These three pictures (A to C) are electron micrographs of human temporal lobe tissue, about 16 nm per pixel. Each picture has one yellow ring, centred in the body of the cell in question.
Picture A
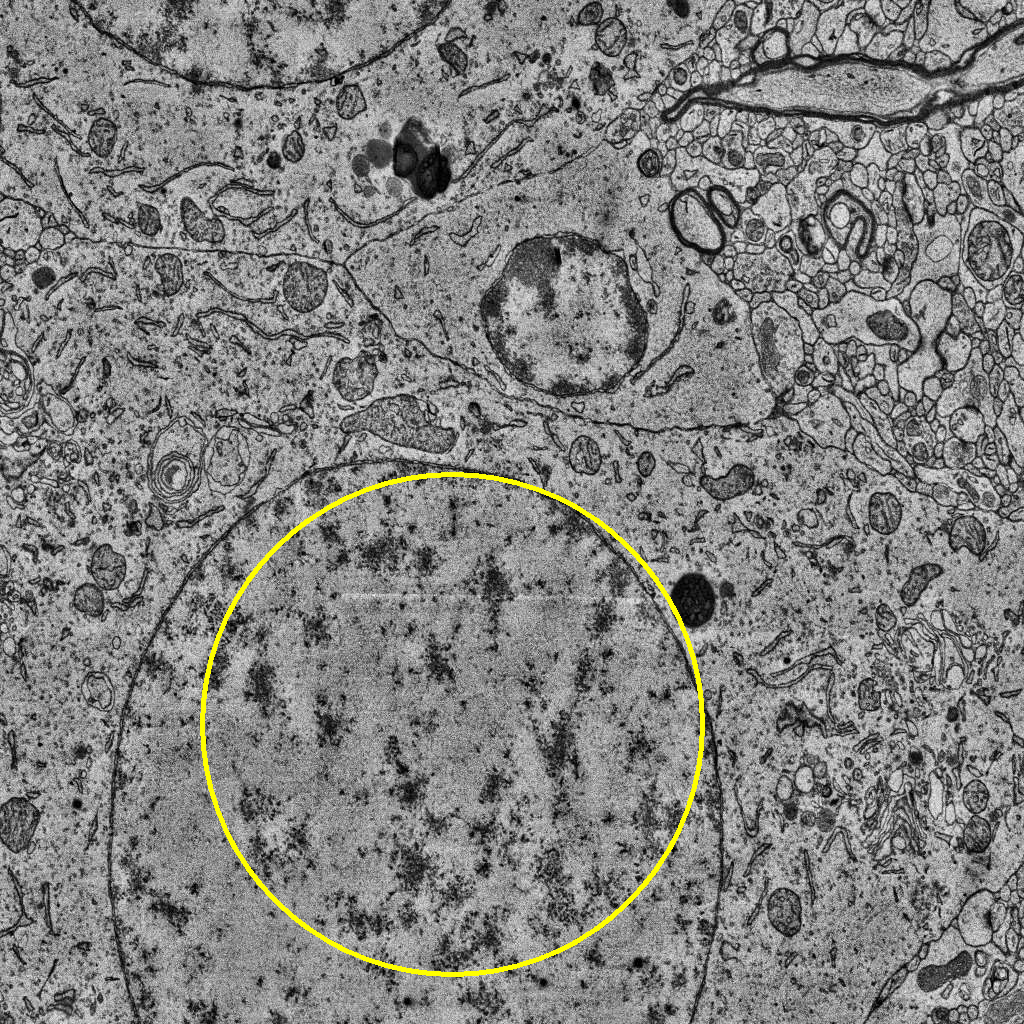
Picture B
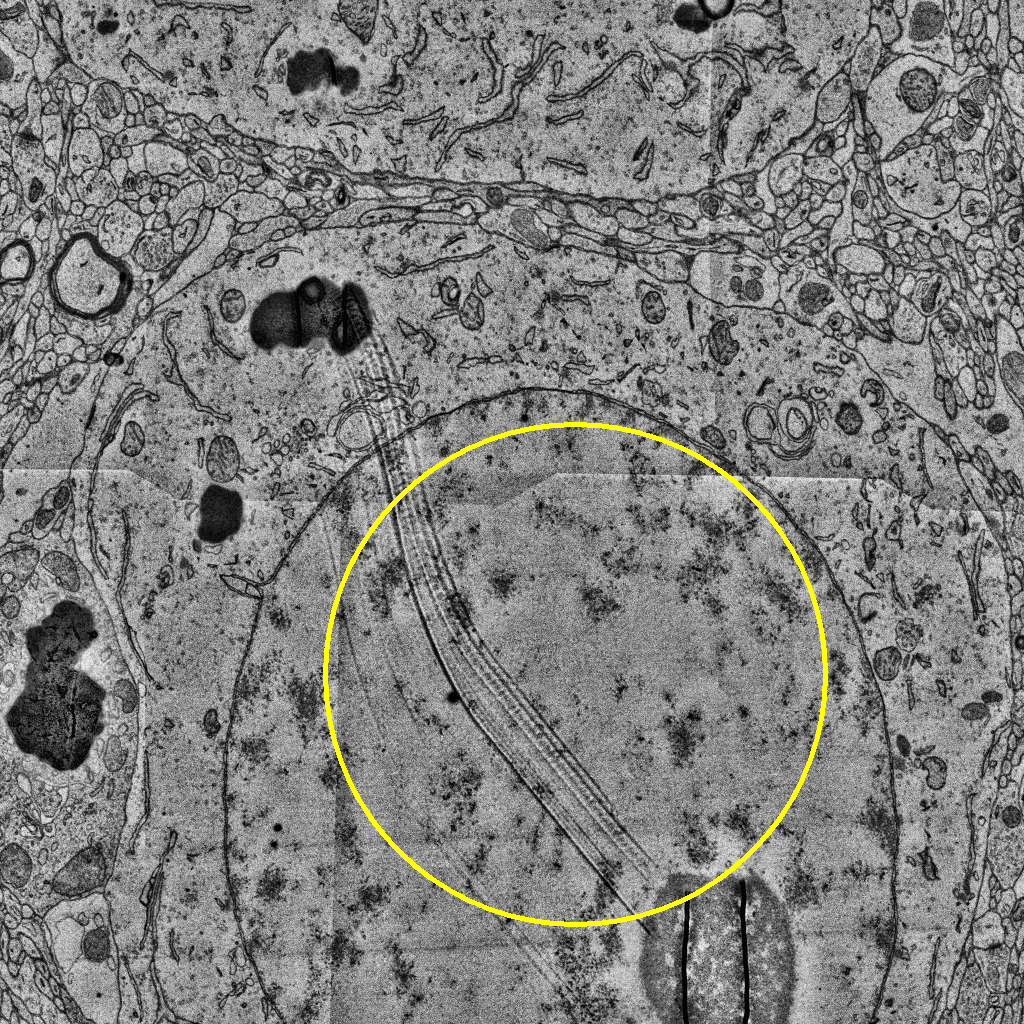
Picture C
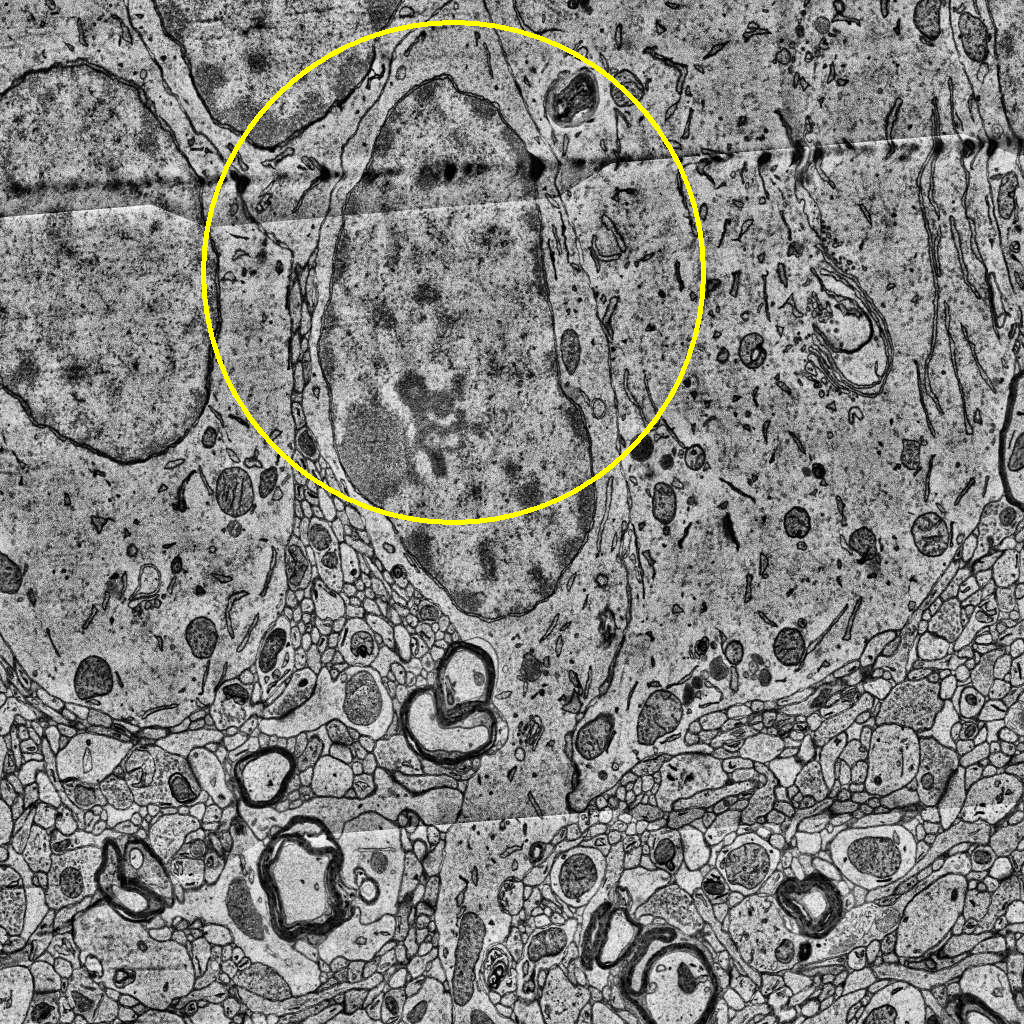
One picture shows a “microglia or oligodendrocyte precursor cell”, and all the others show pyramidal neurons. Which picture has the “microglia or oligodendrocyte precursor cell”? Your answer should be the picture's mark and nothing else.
C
